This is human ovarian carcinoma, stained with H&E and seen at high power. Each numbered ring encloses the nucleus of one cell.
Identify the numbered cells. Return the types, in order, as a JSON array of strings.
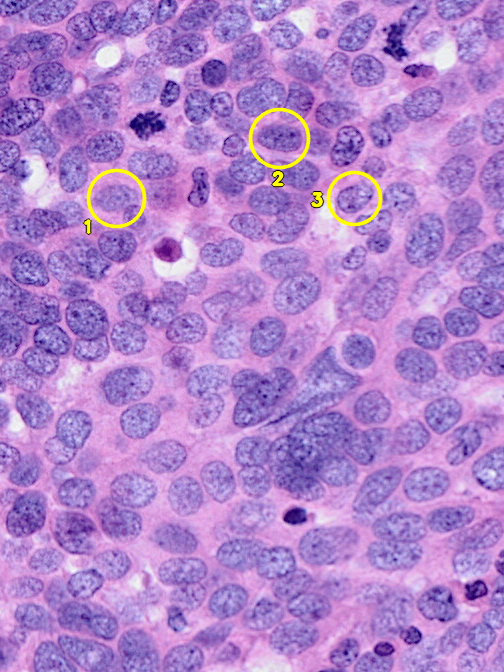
["carcinoma cell", "carcinoma cell", "macrophage or monocyte"]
